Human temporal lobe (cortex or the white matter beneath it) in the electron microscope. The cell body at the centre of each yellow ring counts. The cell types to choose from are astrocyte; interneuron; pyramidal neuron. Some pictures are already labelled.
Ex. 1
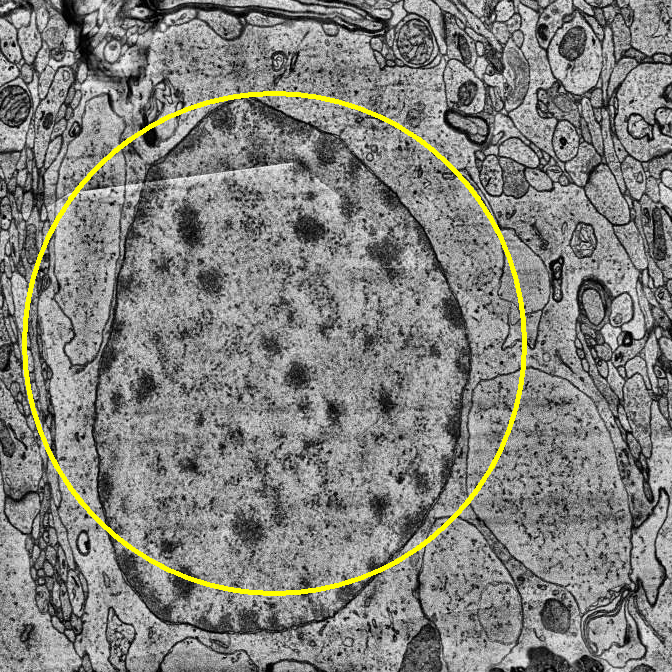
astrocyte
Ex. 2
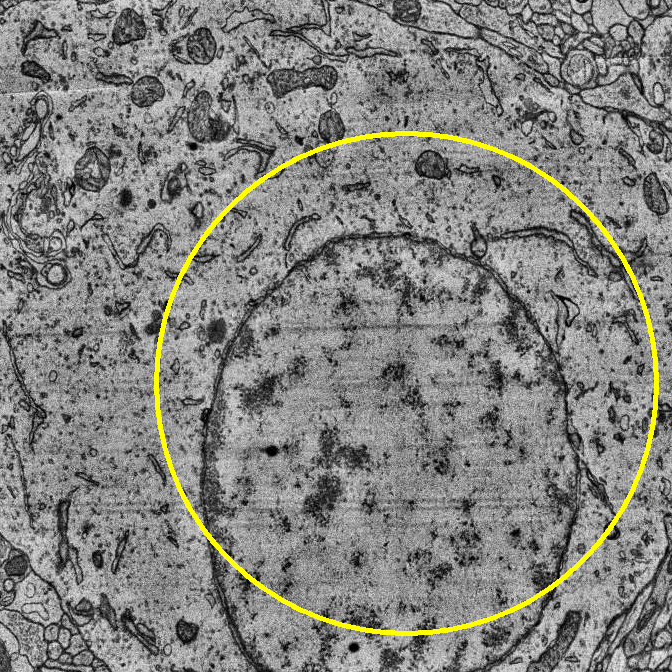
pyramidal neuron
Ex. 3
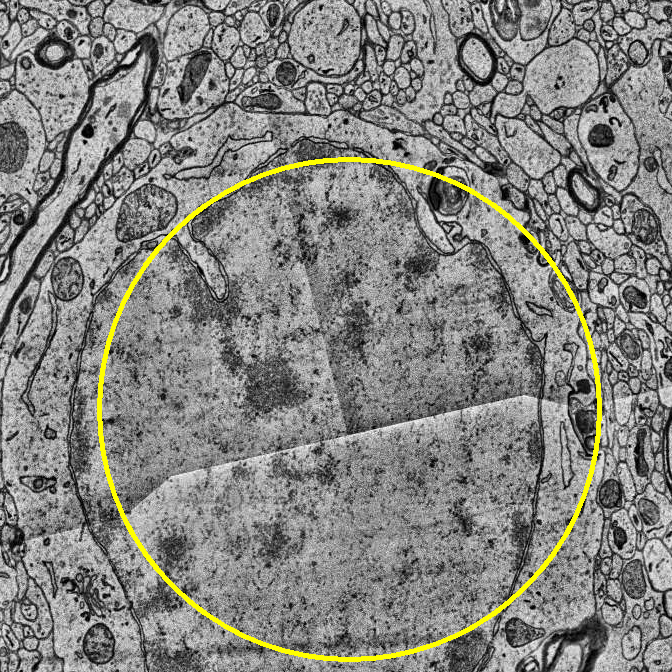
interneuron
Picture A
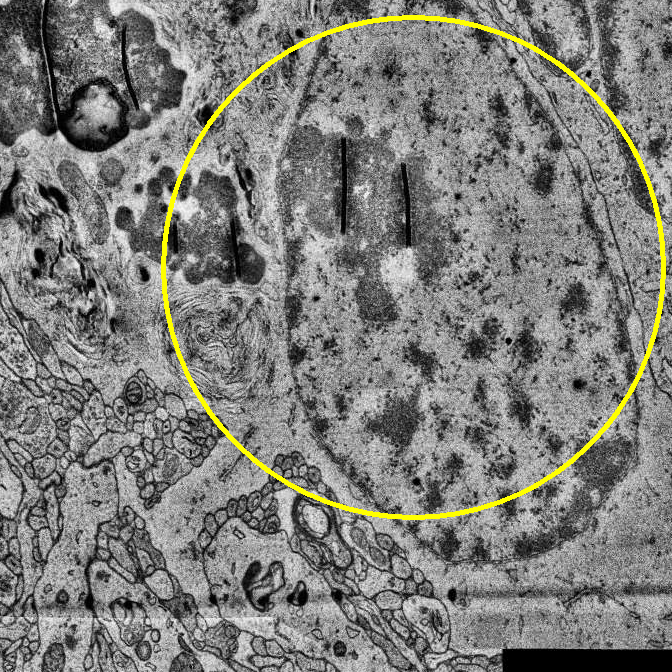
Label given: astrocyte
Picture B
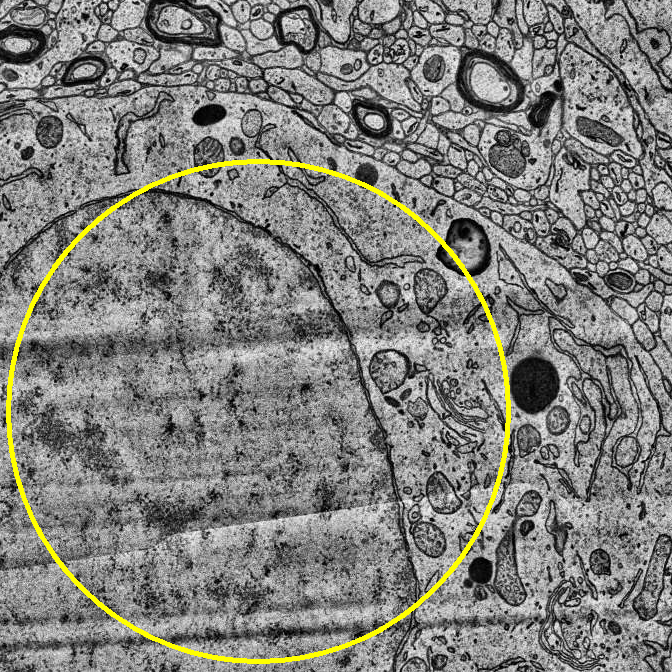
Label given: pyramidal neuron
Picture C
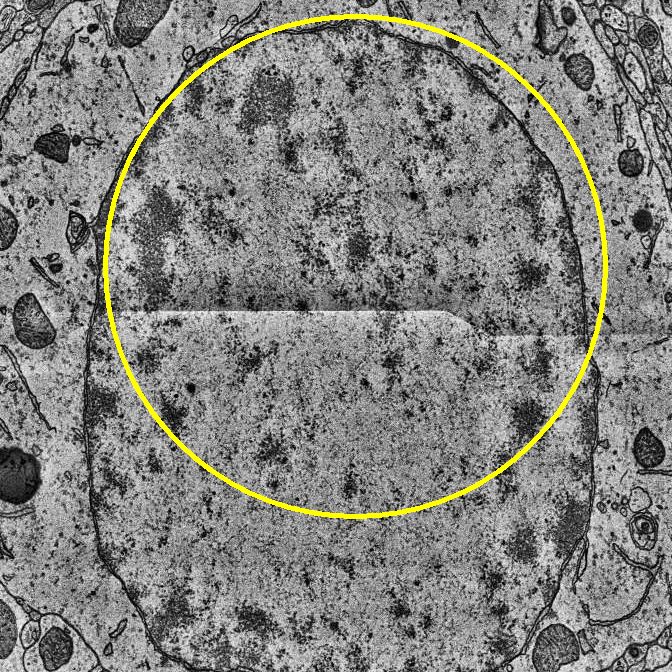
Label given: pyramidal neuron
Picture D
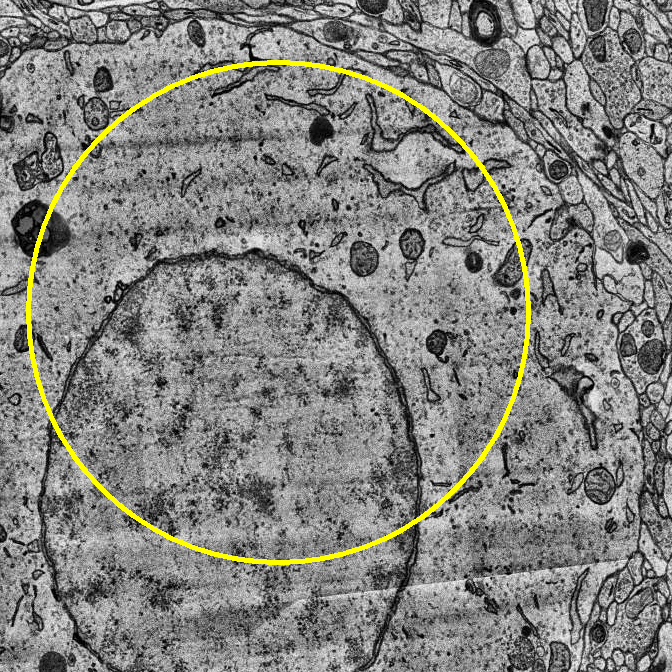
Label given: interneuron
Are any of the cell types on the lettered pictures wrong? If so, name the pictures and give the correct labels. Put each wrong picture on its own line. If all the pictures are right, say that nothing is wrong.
Wrong: D (interneuron); correct: pyramidal neuron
